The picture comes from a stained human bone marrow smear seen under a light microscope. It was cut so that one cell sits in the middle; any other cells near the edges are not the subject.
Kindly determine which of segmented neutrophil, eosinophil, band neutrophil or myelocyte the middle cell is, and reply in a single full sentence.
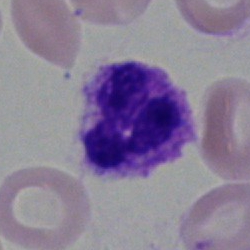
In the middle of this smear crop is a segmented neutrophil.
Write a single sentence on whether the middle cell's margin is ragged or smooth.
Because its outline is ragged or drawn out into projections, the cell lacks a smooth border.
